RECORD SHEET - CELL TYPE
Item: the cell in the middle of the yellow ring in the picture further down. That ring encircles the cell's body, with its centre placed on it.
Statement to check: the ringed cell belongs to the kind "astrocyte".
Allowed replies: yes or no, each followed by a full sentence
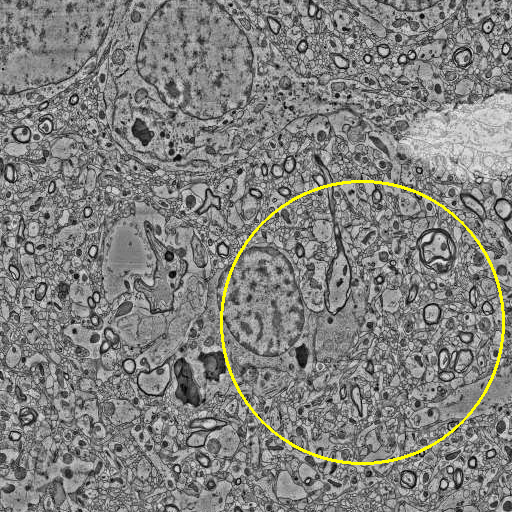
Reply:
No, the cell held at the centre of the ring in the picture is of a different kind.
